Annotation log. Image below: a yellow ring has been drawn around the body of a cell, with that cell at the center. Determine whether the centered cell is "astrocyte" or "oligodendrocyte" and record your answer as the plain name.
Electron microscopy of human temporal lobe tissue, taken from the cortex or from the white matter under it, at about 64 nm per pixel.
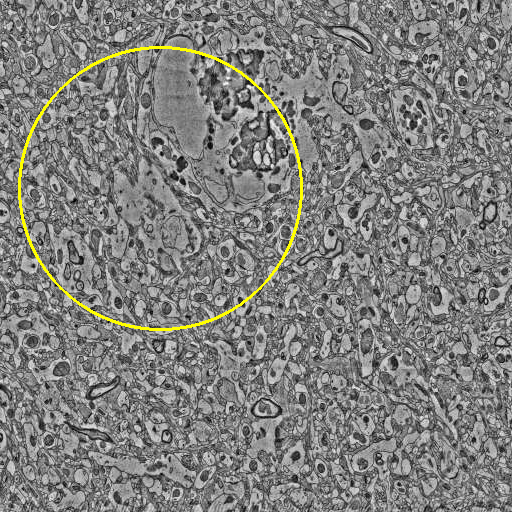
astrocyte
